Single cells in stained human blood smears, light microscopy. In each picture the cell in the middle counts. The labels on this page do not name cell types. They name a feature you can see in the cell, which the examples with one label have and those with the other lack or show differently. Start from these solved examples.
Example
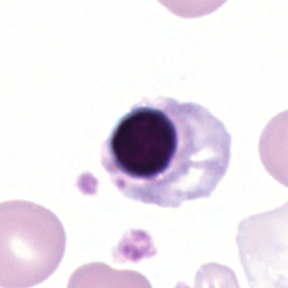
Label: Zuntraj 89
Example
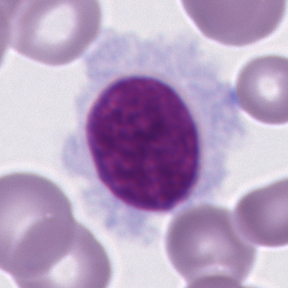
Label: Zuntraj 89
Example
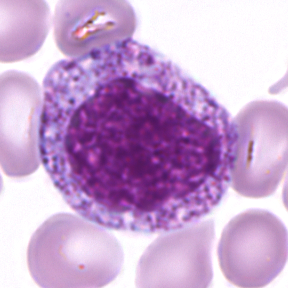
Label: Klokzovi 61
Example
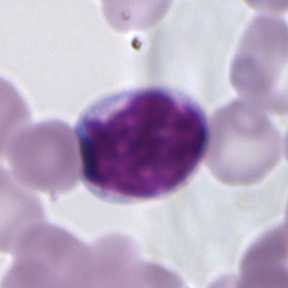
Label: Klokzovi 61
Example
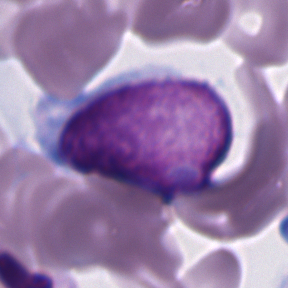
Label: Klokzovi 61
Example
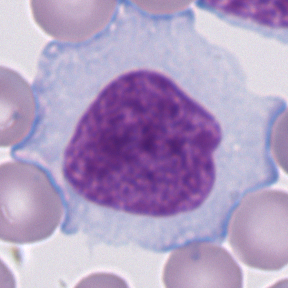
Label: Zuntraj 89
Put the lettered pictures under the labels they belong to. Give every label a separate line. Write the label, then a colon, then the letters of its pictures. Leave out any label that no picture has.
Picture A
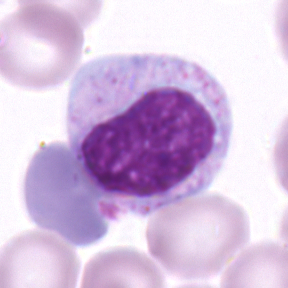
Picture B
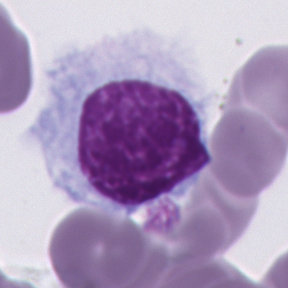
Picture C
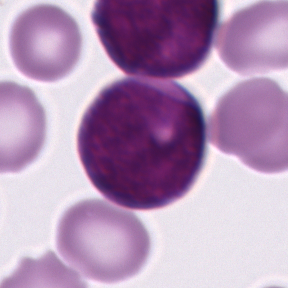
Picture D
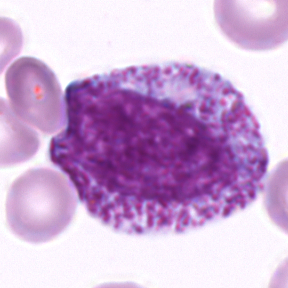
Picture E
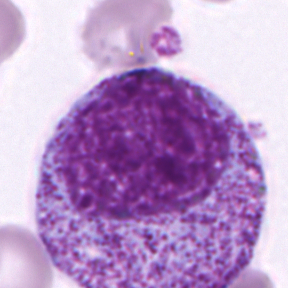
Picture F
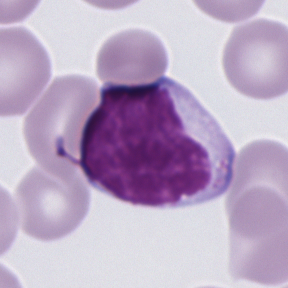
Zuntraj 89: A, B, E
Klokzovi 61: C, D, F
